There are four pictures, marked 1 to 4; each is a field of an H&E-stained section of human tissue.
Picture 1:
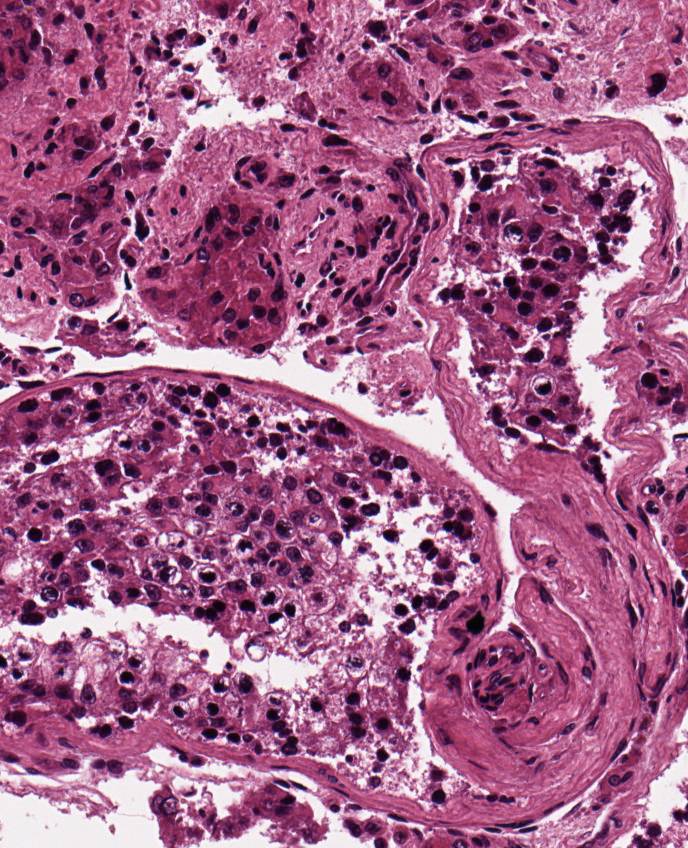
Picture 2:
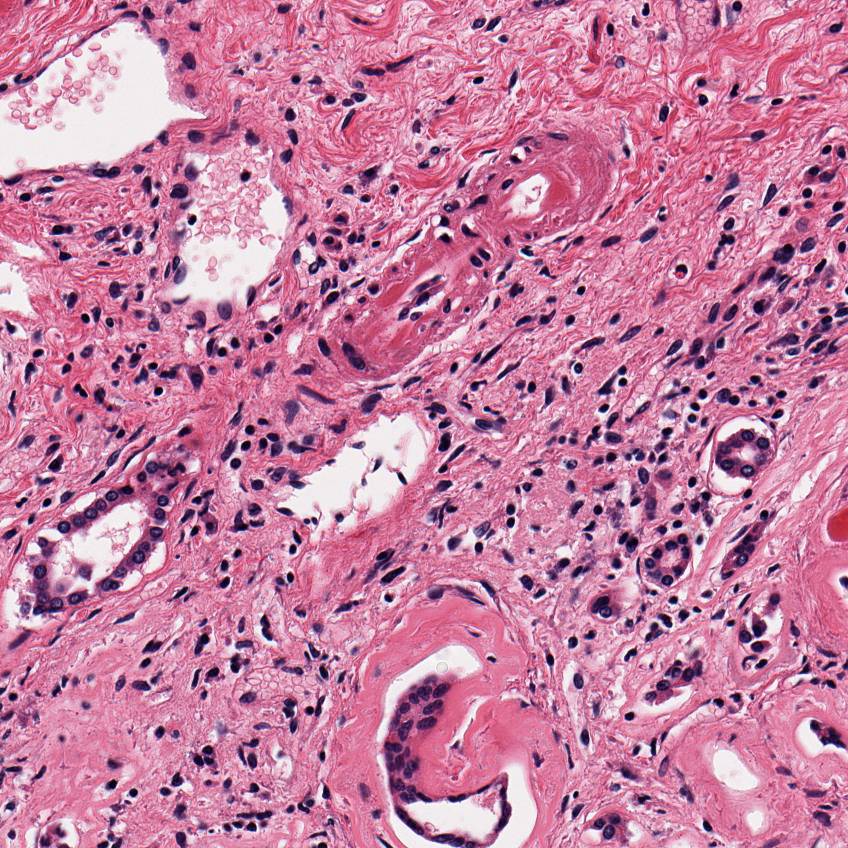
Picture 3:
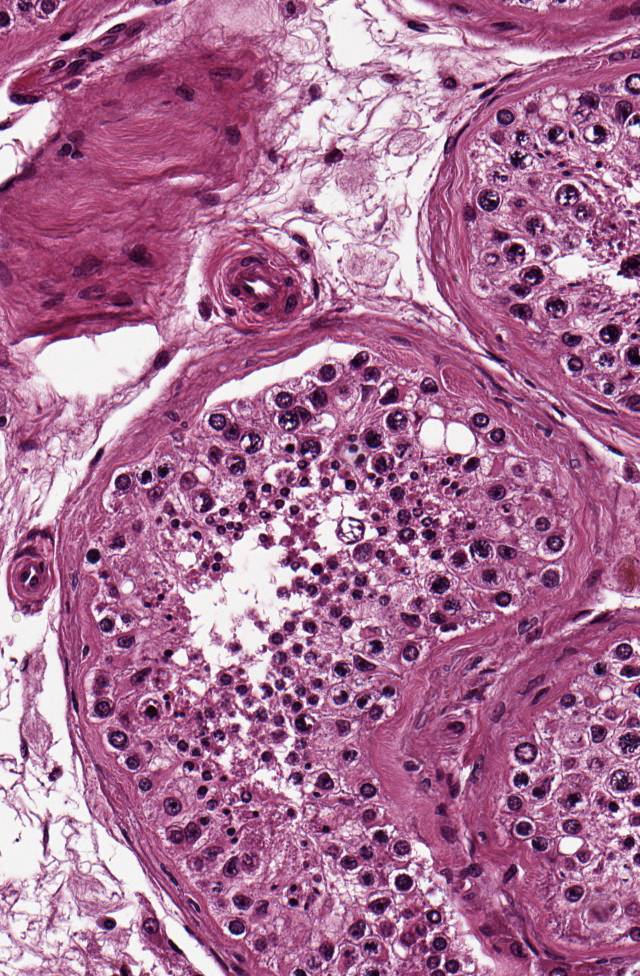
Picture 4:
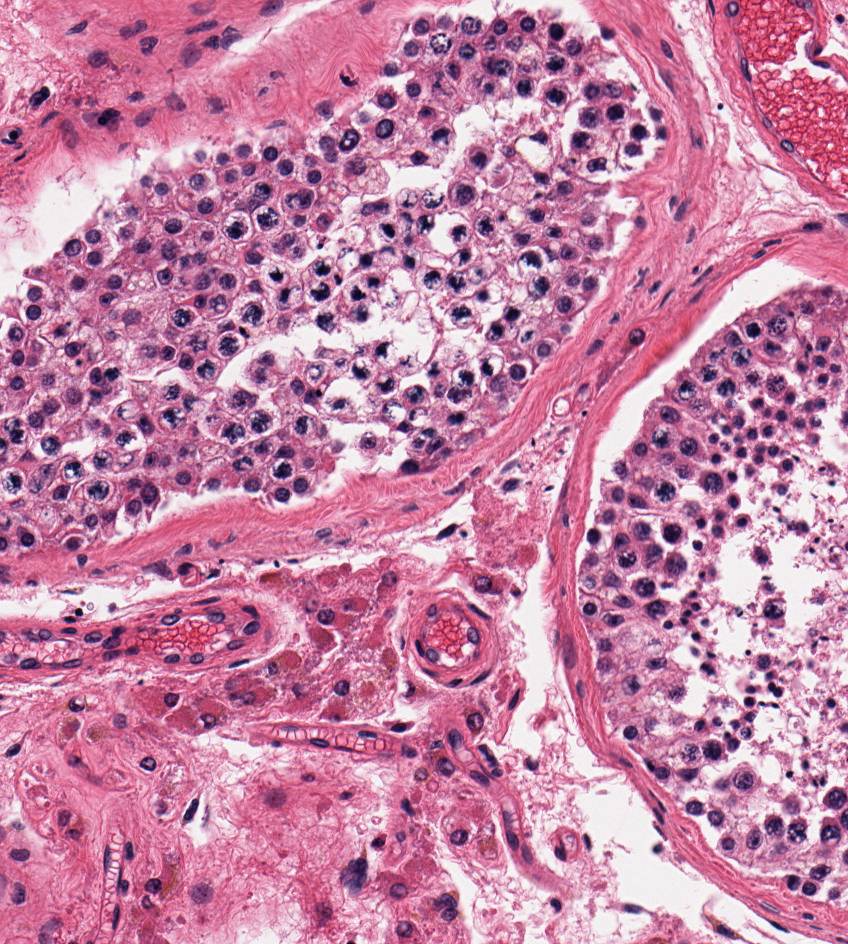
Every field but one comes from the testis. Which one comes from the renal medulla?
2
